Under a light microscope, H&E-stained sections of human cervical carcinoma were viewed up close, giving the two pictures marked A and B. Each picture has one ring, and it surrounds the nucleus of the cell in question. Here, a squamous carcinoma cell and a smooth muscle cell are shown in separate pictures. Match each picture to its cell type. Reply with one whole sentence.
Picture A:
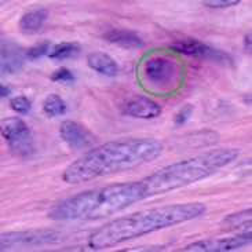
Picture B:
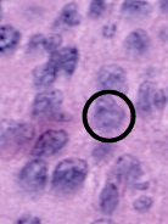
Picture B shows a squamous carcinoma cell, while picture A shows a smooth muscle cell.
